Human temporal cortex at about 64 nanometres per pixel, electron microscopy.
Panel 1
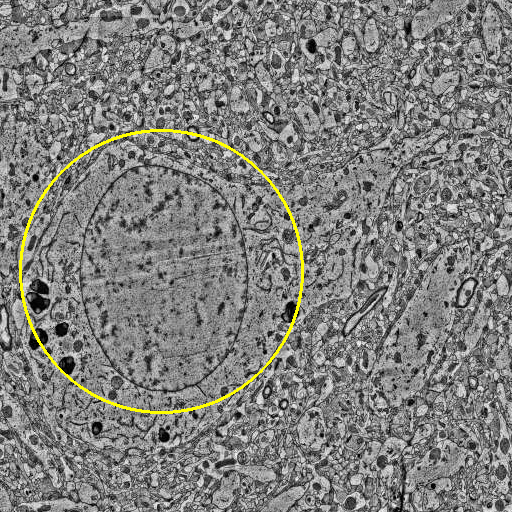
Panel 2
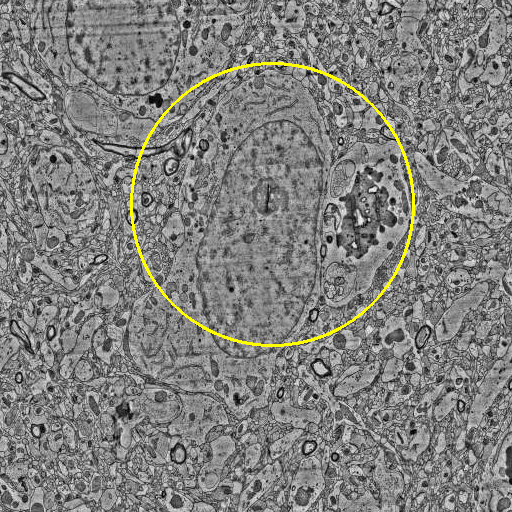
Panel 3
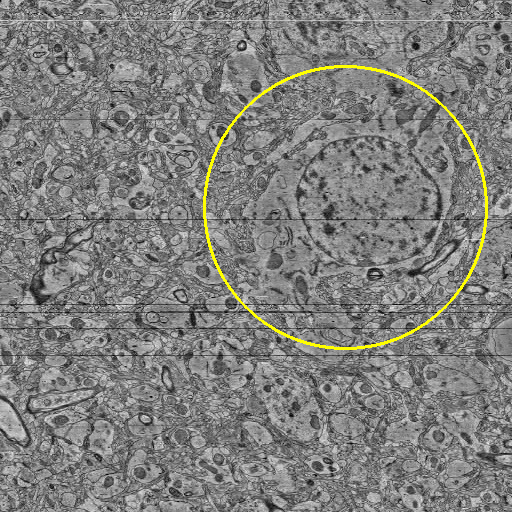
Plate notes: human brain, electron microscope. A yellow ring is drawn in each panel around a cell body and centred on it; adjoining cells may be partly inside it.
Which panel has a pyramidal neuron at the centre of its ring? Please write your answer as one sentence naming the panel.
The ring in Panel 1 is centred on such a cell.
